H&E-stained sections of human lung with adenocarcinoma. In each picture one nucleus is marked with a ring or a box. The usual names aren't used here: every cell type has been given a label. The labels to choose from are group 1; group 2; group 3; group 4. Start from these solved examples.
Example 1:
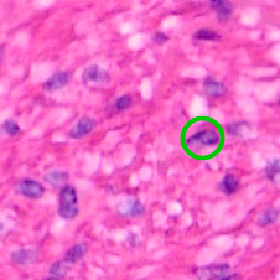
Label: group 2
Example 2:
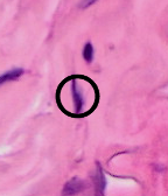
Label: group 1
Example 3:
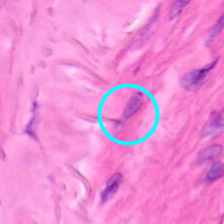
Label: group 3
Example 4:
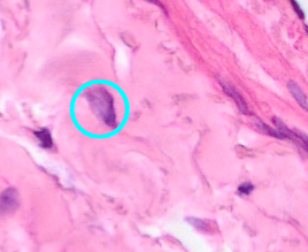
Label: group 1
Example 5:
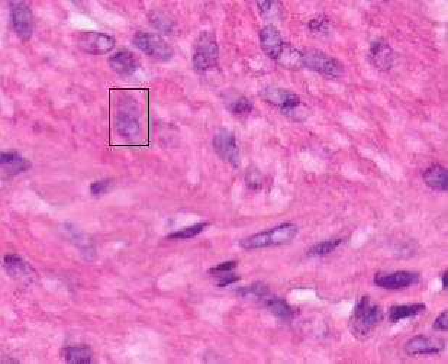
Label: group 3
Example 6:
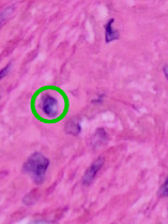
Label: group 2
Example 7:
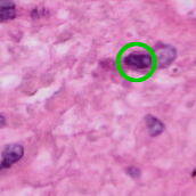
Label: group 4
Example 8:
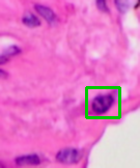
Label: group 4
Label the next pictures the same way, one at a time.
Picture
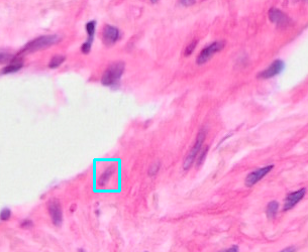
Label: group 3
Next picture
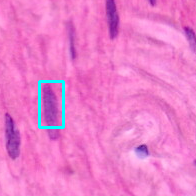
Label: group 3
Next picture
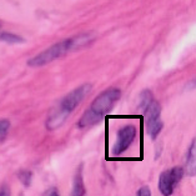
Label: group 2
